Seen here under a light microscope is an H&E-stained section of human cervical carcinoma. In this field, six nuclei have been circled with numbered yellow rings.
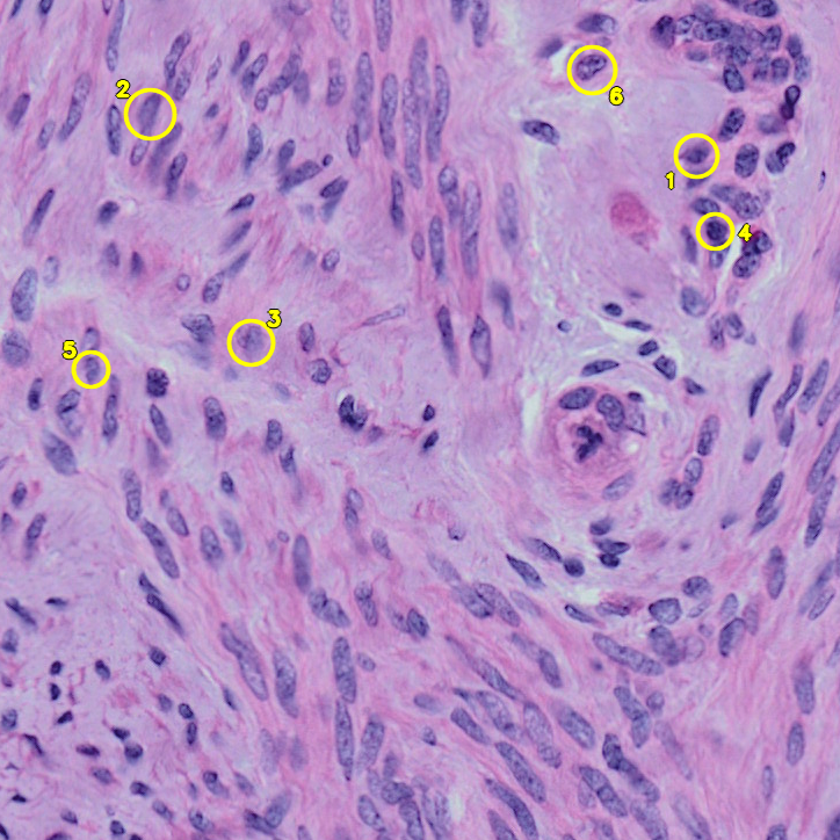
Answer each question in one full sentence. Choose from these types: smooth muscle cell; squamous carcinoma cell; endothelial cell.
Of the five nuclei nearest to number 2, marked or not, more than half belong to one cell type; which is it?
Of the five nuclei nearest to number 2, most belong to smooth muscle cells.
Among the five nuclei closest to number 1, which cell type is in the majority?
Around number 1, most of the five nearest nuclei are those of endothelial cells.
